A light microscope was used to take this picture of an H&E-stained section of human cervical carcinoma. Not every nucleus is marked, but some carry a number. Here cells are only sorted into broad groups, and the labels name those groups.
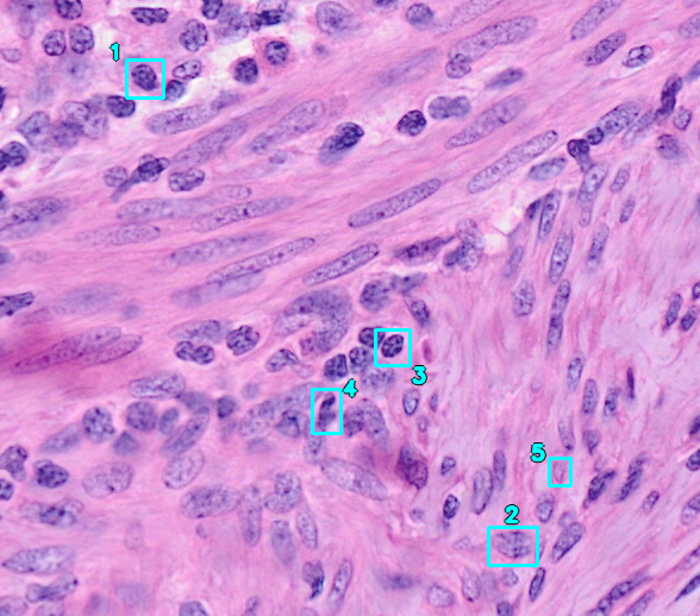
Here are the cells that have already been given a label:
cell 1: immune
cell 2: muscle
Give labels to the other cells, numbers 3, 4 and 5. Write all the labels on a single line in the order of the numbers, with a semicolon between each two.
immune; immune; muscle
